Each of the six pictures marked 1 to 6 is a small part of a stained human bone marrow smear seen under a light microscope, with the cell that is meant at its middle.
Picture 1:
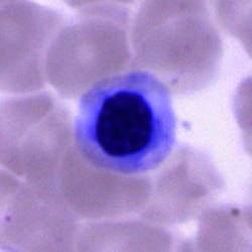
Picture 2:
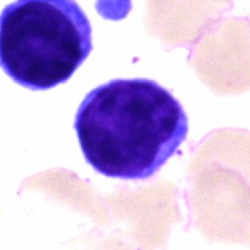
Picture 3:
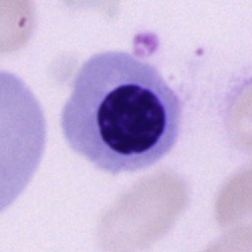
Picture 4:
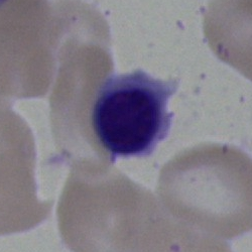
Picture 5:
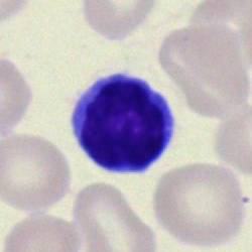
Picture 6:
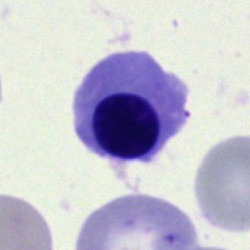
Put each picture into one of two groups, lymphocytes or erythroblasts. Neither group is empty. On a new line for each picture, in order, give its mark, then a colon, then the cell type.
1: erythroblast
2: lymphocyte
3: erythroblast
4: erythroblast
5: lymphocyte
6: erythroblast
